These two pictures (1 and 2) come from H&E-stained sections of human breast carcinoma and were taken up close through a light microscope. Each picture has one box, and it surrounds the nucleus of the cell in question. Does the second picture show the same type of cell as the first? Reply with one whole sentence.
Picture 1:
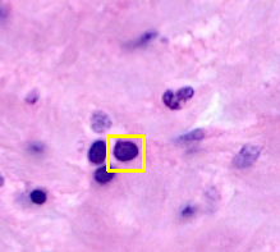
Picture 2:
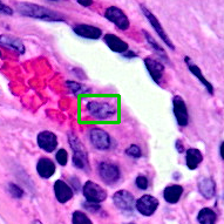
No, picture 1 shows a lymphocyte and picture 2 shows an endothelial cell.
